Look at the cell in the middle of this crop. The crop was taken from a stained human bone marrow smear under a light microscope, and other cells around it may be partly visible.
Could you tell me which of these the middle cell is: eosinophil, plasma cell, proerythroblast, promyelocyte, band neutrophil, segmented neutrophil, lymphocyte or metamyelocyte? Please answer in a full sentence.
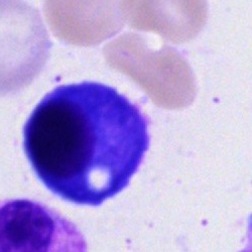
As for the central cell, it is a plasma cell.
